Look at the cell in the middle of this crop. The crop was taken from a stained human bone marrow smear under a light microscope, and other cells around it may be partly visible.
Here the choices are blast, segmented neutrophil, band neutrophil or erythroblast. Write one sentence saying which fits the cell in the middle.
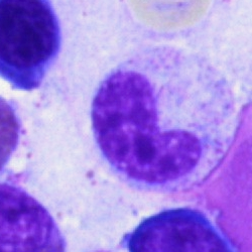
This crop is built around a band neutrophil at its centre.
